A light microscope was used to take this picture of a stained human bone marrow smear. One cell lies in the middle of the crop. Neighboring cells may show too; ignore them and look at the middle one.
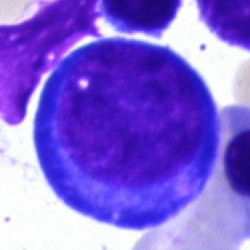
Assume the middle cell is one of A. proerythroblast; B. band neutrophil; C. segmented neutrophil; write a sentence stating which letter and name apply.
At the centre of the crop lies a proerythroblast, which makes option A correct.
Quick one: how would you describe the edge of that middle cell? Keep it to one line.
Around its whole circumference the outline stays smooth, free of projections.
